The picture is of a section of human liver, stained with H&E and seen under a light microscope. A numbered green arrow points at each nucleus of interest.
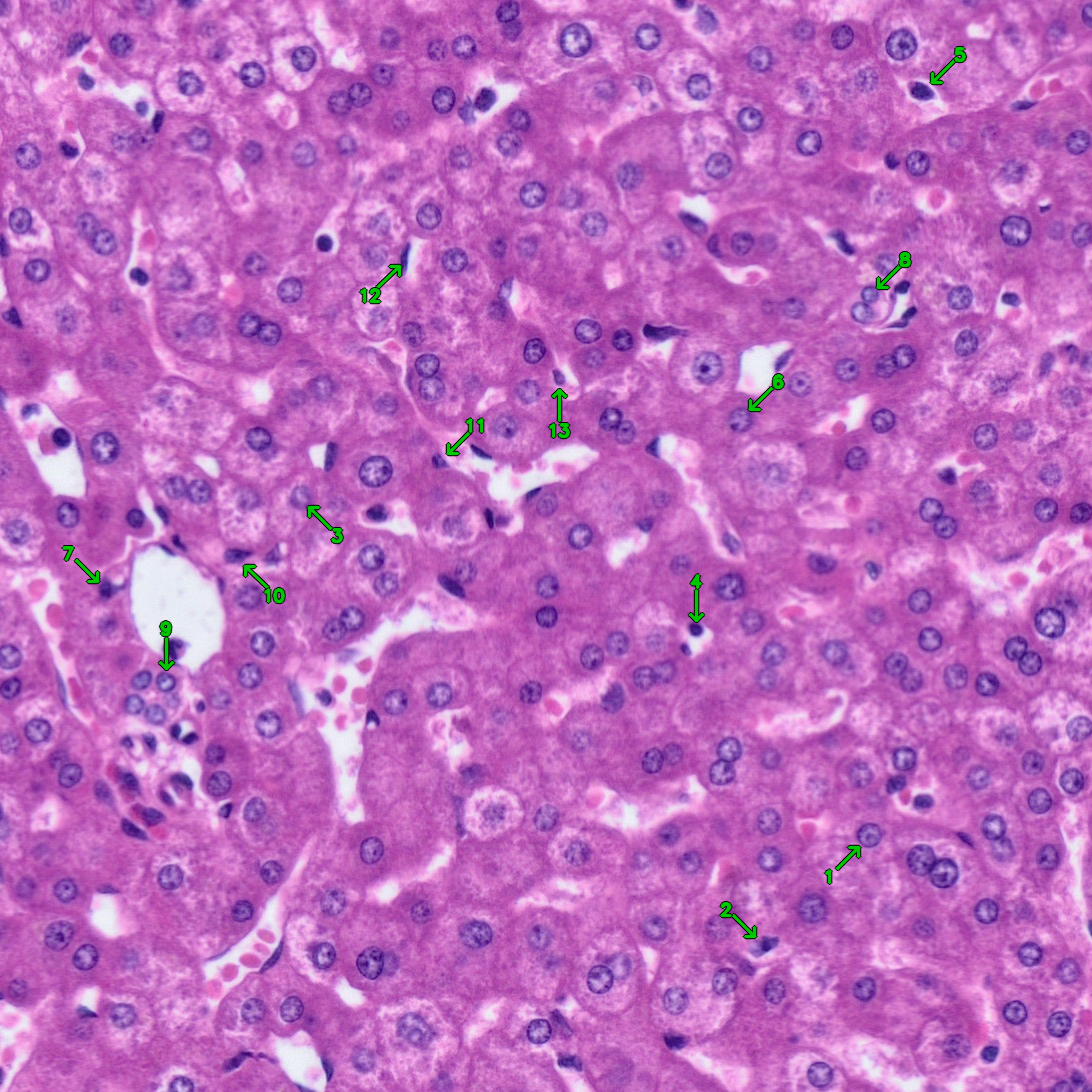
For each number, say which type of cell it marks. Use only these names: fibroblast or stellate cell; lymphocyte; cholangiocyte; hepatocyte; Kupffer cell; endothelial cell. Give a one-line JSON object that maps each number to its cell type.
{"1": "hepatocyte", "2": "endothelial cell", "3": "hepatocyte", "4": "lymphocyte", "5": "lymphocyte", "6": "hepatocyte", "7": "fibroblast or stellate cell", "8": "cholangiocyte", "9": "cholangiocyte", "10": "fibroblast or stellate cell", "11": "fibroblast or stellate cell", "12": "endothelial cell", "13": "Kupffer cell"}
